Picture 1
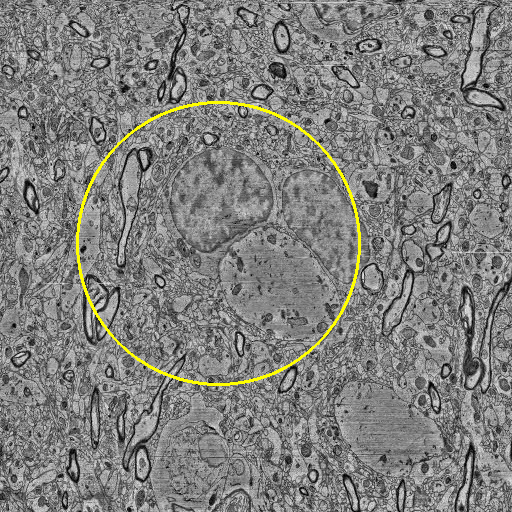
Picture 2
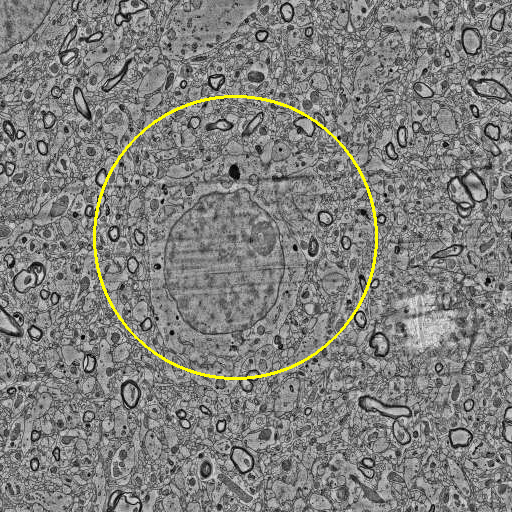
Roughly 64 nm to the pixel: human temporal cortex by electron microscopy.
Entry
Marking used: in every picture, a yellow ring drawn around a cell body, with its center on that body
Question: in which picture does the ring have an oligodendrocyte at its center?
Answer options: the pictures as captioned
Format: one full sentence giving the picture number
Picture 1 is where the ring's center falls on the requested cell.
